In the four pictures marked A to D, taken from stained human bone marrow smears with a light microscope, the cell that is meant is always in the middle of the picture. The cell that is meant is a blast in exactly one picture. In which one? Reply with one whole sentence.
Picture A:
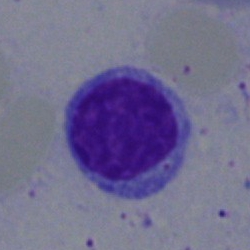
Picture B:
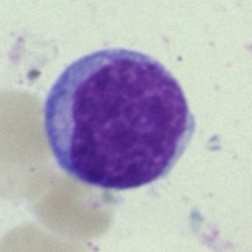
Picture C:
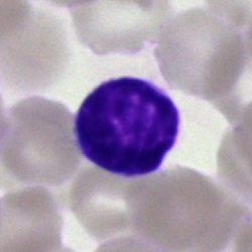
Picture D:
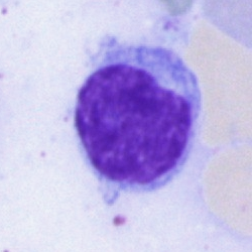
The cell in picture B is the blast.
